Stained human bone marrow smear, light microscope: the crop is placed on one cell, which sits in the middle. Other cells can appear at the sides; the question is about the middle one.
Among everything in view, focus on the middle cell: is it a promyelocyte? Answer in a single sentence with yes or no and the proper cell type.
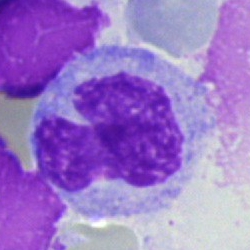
No, the central cell is identified not as a promyelocyte but as a monocyte.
